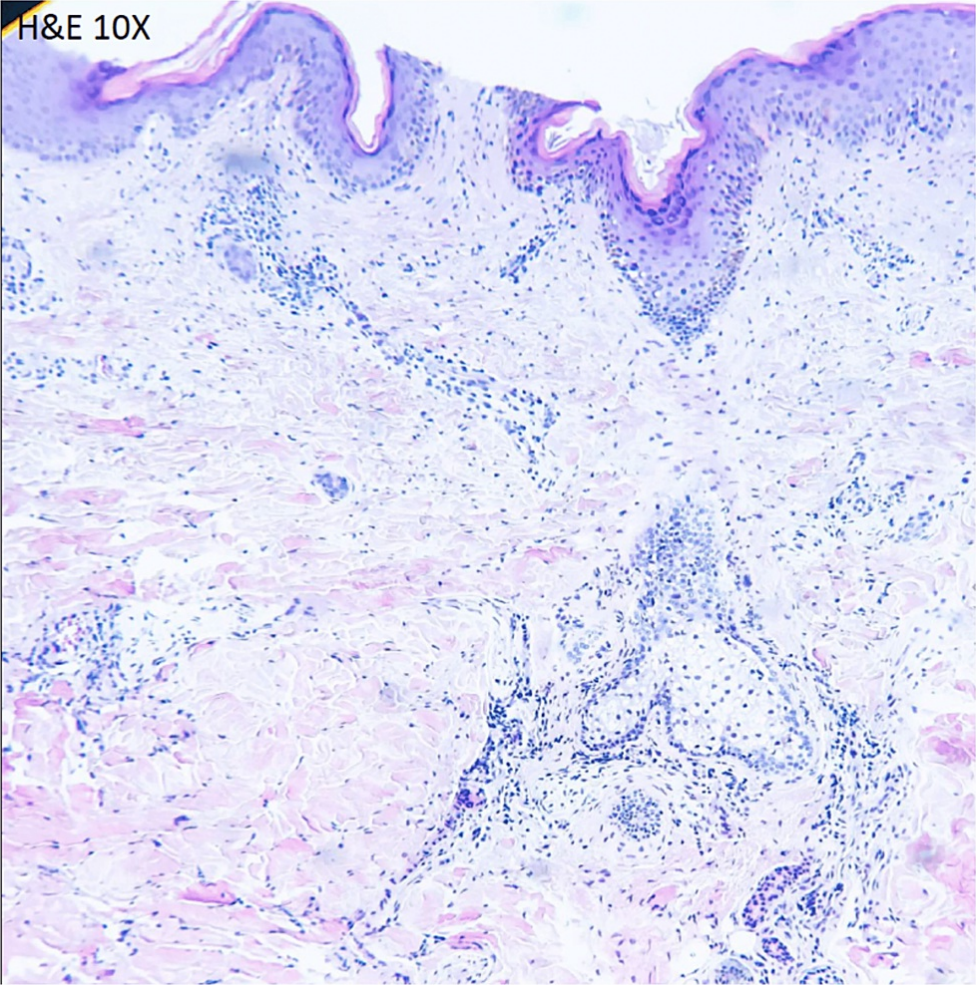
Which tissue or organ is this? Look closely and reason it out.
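Skin. A stratified squamous epithelium with a thin pink surface layer covers the top edge. Beneath it lies fibrous connective tissue with pink collagen bundles. A rounded epithelial adnexal structure lies deeper in the connective tissue.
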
